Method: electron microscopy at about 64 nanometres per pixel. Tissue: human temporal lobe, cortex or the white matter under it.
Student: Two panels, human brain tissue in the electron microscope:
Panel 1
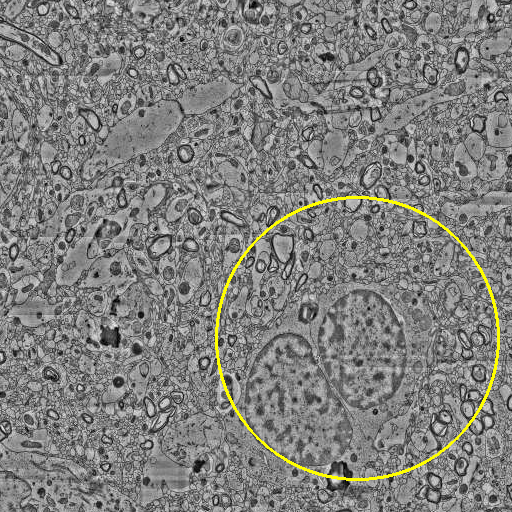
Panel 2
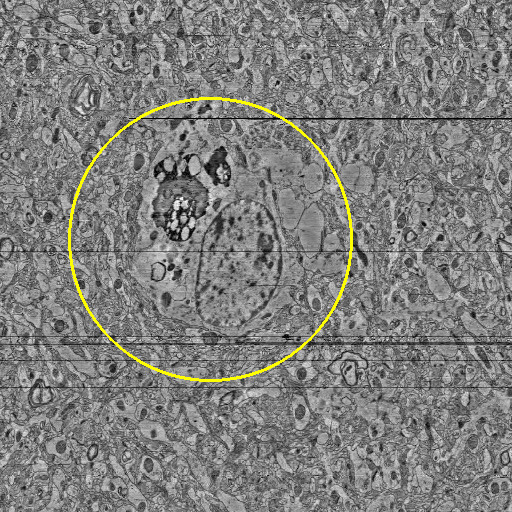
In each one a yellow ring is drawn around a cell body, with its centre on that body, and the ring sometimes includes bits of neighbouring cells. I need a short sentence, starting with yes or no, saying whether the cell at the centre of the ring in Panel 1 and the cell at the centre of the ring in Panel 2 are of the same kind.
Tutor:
No, they are two kinds of cell.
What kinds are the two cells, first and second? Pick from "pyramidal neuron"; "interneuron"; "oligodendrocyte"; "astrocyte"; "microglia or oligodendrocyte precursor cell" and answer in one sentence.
The second picture holds an astrocyte in its ring, and the first holds an oligodendrocyte.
